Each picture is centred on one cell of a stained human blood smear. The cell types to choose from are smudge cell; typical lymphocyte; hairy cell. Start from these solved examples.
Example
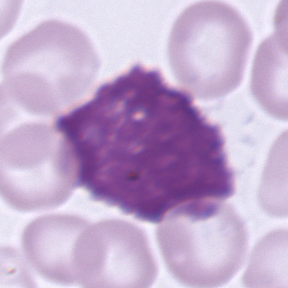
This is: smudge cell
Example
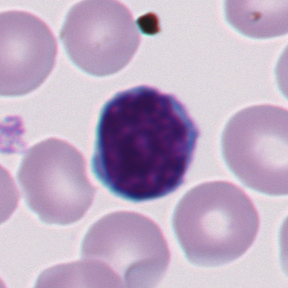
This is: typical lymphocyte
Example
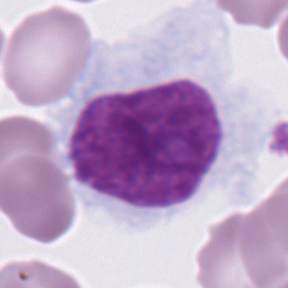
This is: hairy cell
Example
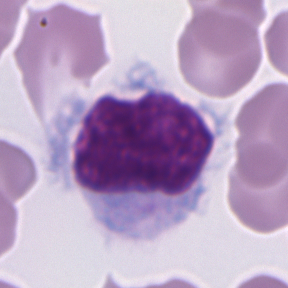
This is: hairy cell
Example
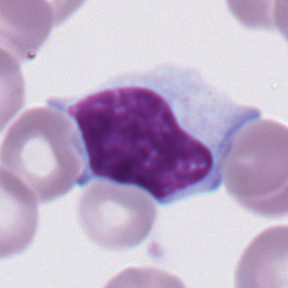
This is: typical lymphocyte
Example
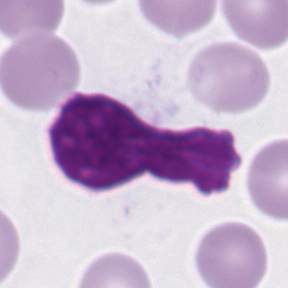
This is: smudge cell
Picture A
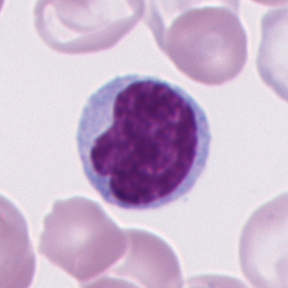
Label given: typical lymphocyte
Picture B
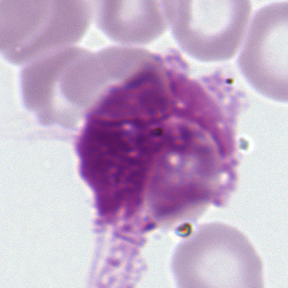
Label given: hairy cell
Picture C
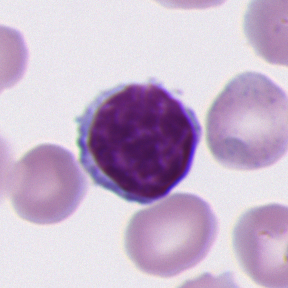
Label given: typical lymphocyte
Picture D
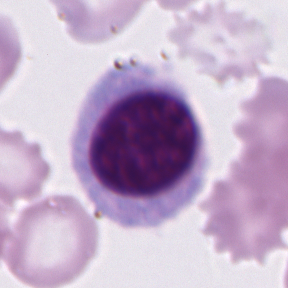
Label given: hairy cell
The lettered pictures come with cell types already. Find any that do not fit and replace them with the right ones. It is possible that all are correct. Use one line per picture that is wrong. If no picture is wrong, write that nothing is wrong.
B: change hairy cell to smudge cell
